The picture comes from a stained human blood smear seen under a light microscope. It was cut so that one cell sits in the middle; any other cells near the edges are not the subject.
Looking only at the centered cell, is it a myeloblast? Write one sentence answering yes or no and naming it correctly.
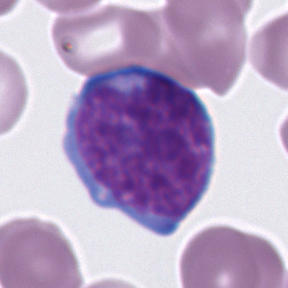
Yes, the cell that the crop is centered on is a myeloblast.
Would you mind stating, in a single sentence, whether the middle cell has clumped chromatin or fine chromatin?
You can see that its chromatin is coarsely clumped.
